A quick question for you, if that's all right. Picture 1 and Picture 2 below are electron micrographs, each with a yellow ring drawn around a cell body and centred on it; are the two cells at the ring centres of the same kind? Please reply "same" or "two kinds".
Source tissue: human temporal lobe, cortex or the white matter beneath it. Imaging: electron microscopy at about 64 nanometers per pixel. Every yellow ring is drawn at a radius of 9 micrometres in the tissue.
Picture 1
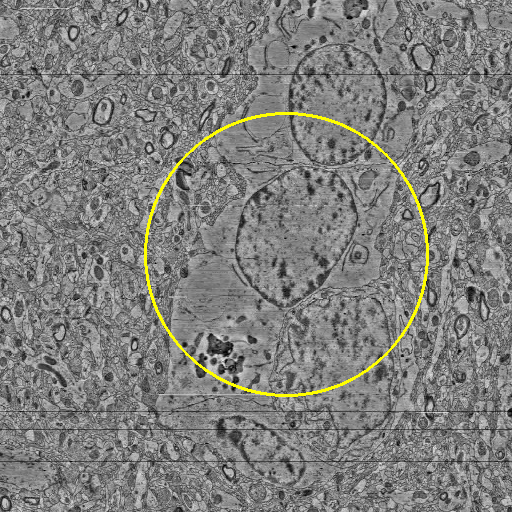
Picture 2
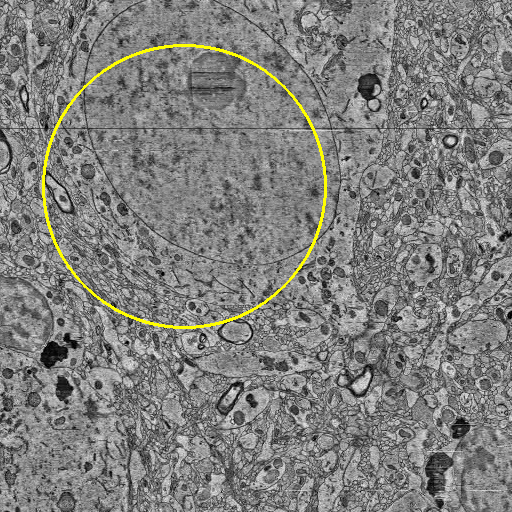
two kinds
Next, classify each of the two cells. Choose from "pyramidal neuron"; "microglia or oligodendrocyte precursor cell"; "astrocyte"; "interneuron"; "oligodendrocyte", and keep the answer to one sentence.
In the first picture it is an astrocyte; in the second it is a pyramidal neuron.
